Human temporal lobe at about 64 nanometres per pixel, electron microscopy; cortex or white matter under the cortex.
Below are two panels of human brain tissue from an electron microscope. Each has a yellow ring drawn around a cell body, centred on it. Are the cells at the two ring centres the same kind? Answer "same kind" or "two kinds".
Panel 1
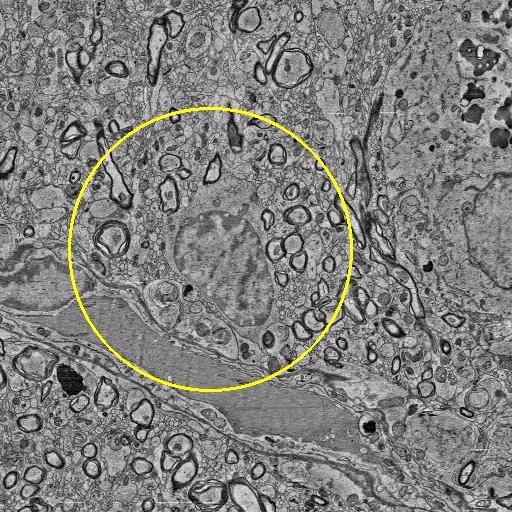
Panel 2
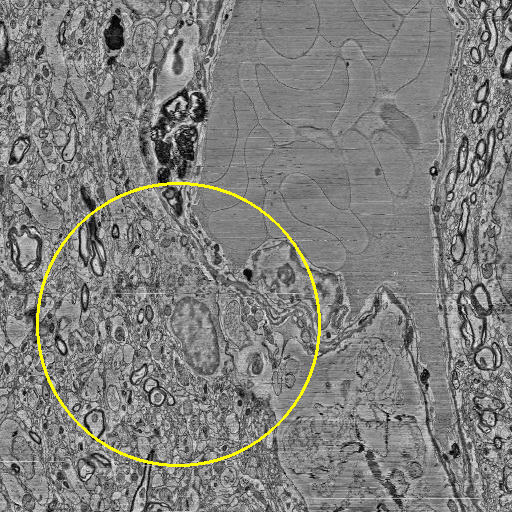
same kind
